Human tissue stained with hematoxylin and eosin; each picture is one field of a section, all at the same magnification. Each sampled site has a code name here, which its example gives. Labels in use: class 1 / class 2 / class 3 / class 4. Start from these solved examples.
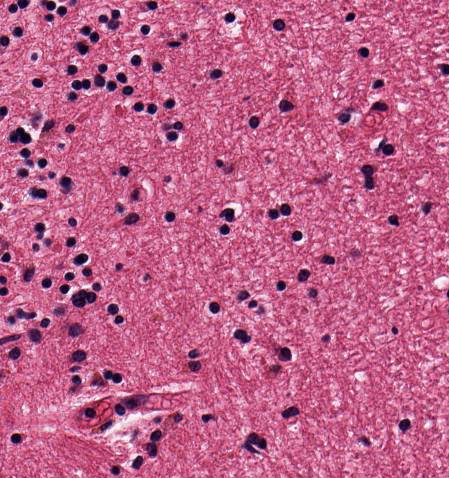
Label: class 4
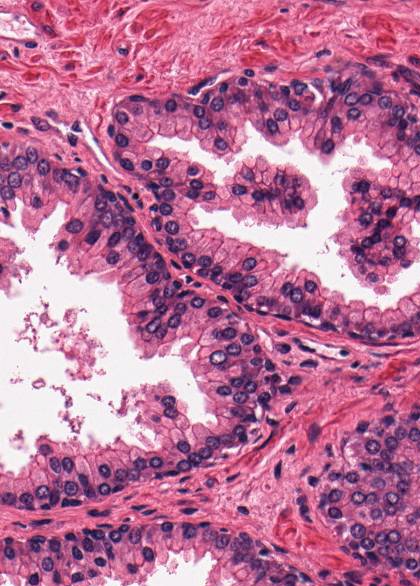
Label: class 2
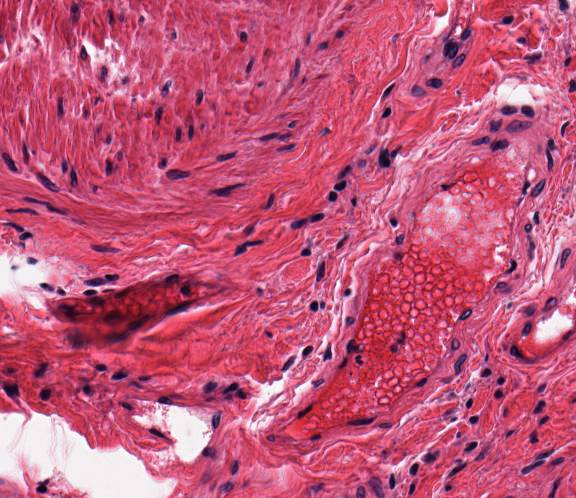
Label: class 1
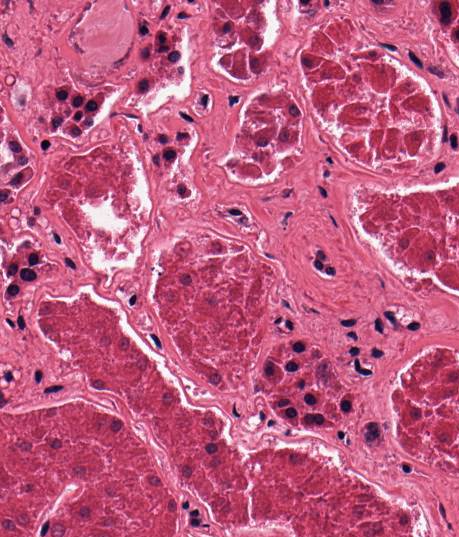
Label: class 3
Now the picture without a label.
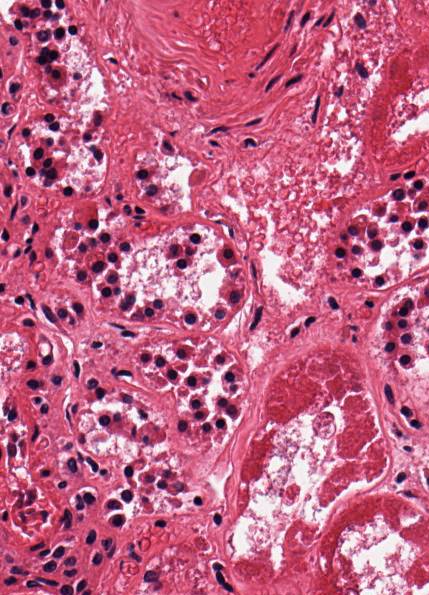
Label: class 3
